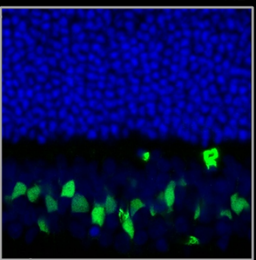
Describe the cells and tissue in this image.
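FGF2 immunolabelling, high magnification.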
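This is a close view of retina showing two nuclear layers stacked one above the other. The upper half is a thick band of small, round blue nuclei packed tightly in many rows, without any green. Below it runs a thin dark gap with almost no nuclei, in which a couple of small bright green bodies sit. The lower layer holds larger, more loosely set blue nuclei, and many of its cells have cytoplasm filled with green, giving oval or teardrop-shaped bodies, some with a short tapering process.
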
